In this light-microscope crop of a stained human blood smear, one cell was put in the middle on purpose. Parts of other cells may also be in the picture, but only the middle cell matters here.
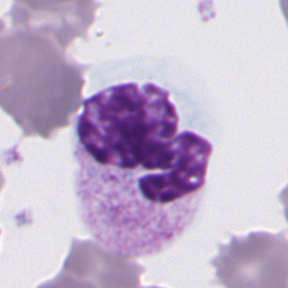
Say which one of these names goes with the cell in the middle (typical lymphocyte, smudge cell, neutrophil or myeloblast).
neutrophil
